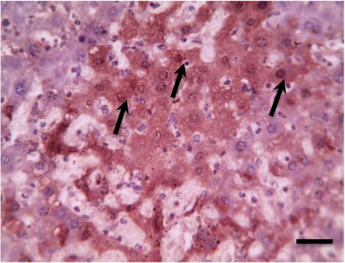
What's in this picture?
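Liver tissue with hepatocytes, large polygonal cells with round central nuclei, here much of the field taken up by a broad patch of reddish-brown staining. Within it, the cytoplasm and several nuclei of the hepatocytes are stained brown, while the cords lose their orderly arrangement and pale, empty-looking gaps and loosened cells appear between them. At the edges of the patch, cells keep a paler purple counterstain with bluish nuclei. The picture reads as an area of damaged liver in which many hepatocytes carry strong positive staining in both nucleus and cytoplasm.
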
